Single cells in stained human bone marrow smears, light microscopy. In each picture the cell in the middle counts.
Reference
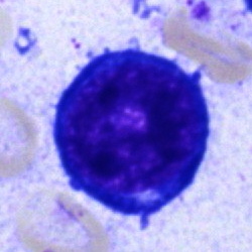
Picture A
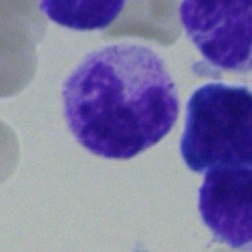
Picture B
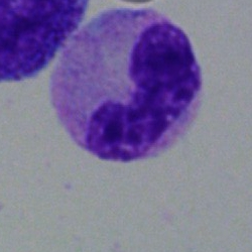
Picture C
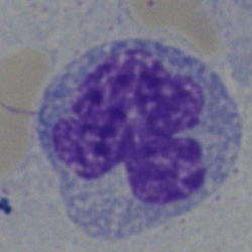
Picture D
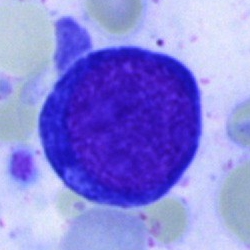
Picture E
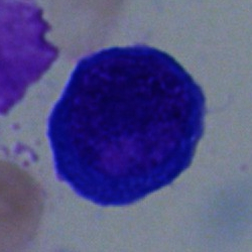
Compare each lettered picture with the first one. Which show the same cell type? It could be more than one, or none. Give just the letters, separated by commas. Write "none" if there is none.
D, E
